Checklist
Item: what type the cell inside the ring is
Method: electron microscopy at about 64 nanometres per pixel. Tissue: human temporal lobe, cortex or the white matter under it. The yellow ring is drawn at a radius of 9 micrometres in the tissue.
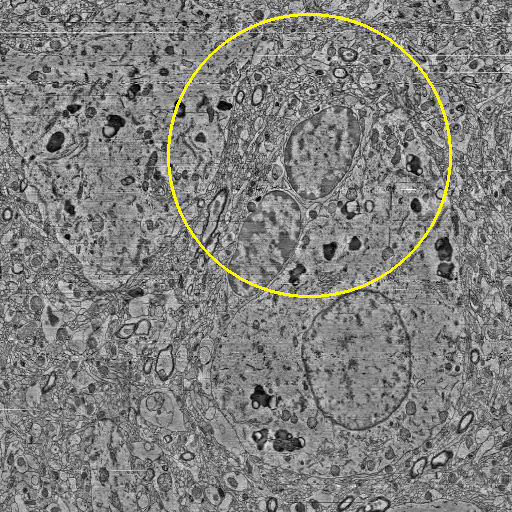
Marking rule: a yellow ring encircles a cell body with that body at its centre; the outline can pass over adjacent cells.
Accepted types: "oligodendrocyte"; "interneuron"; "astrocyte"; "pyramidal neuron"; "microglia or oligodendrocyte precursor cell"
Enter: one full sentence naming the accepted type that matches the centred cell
The entry is that a microglial cell or oligodendrocyte precursor cell lies at the centre of the yellow ring.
